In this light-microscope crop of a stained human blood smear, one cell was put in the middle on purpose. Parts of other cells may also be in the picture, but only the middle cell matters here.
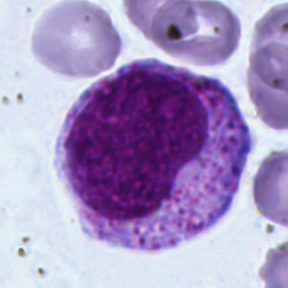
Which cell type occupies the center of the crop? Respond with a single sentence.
The centrally positioned cell in the crop represents a promyelocyte.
